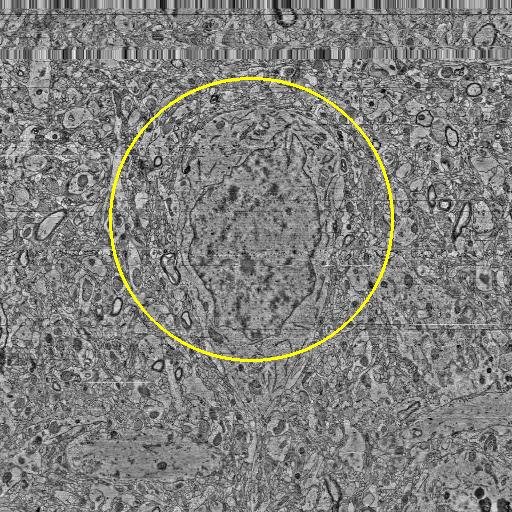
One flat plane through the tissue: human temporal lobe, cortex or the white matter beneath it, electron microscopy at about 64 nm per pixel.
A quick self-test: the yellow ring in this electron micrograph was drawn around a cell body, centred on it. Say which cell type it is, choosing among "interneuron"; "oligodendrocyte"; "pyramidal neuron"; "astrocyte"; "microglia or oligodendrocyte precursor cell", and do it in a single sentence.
The yellow-ringed cell is an interneuron.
